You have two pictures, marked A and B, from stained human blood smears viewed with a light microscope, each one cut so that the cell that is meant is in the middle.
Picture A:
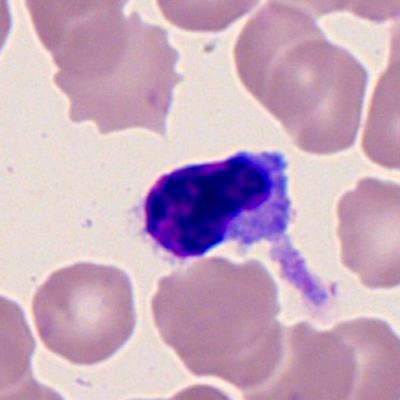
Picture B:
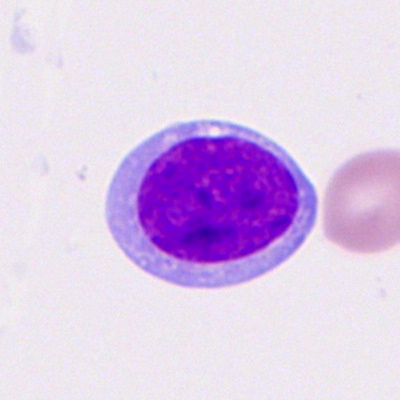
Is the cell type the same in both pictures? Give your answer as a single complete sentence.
Yes, the two pictures both show lymphocytes.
